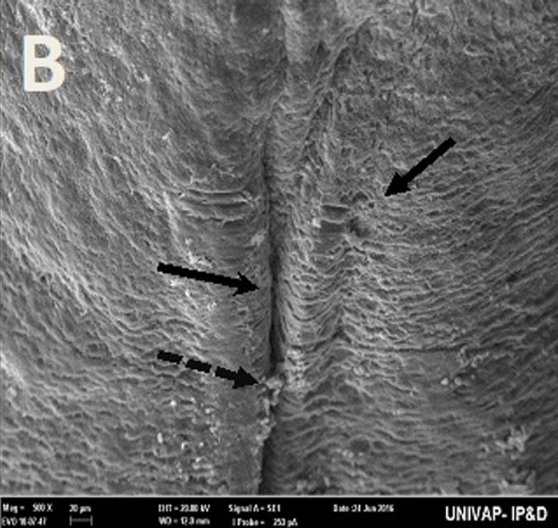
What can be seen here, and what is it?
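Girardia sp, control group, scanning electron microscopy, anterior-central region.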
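This is the body surface of a planarian seen at high magnification, with a narrow invagination of the epidermis running down the middle as a deep groove. The surface on either side is finely wrinkled into ridges that fold toward the groove, and small droplet-like blobs sit near the groove, with small pores on the surface.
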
